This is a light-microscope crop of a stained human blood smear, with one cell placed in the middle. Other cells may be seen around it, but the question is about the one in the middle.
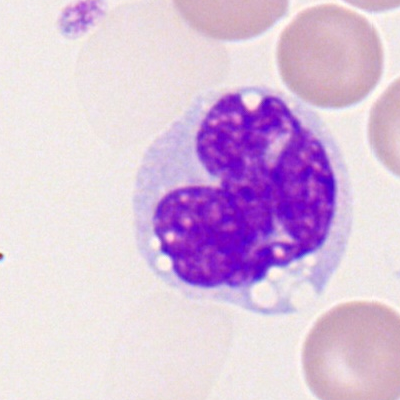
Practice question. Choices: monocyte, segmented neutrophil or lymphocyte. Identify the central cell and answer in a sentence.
For this crop, the cell in the middle is a monocyte.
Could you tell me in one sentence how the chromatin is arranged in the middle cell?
Check the chromatin: it is fine and not coarsely clumped.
